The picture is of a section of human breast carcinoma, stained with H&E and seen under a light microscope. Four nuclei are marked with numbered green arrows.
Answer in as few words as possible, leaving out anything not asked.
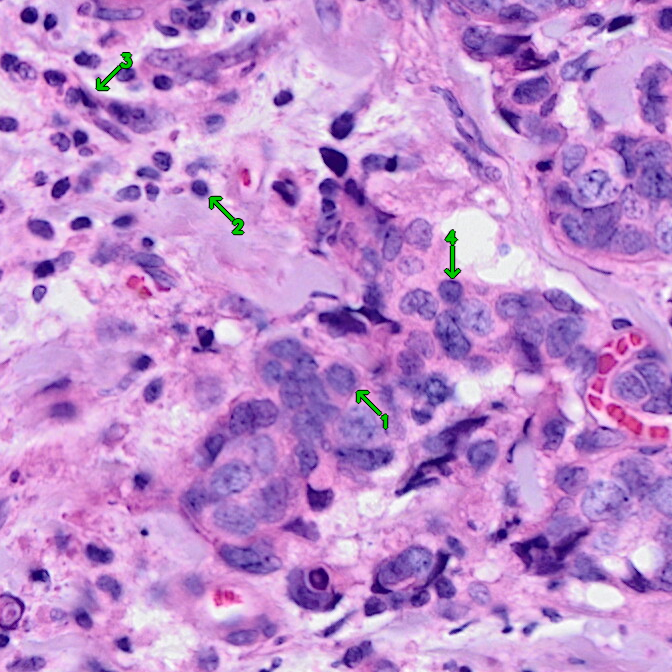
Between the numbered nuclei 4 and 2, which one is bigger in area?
4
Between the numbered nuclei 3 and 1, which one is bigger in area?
1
